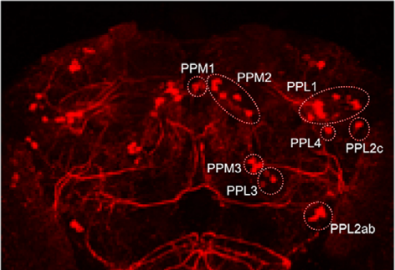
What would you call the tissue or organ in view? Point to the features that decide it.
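Brain. A bilaterally symmetric whole-mount organ with paired lobes is outlined by faint red fibres. Clusters of labelled cell bodies lie mirrored on left and right sides.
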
